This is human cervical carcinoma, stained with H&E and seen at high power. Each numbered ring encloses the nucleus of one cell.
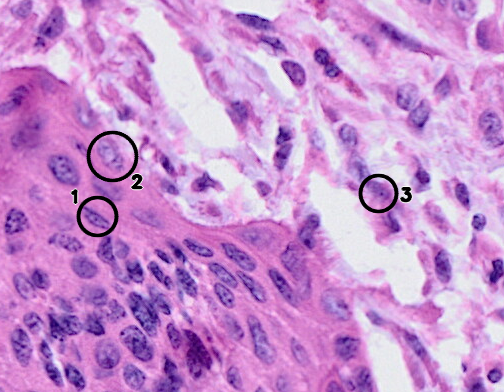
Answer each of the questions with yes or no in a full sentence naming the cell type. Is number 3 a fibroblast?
Yes, in this tissue section, number 3 is a fibroblast.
